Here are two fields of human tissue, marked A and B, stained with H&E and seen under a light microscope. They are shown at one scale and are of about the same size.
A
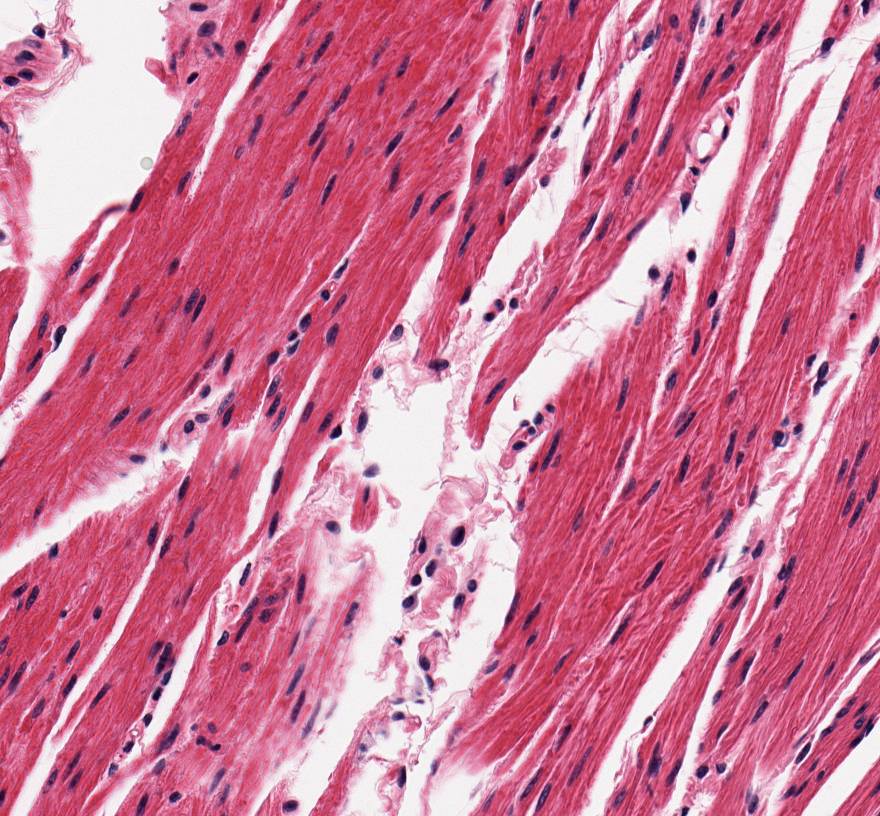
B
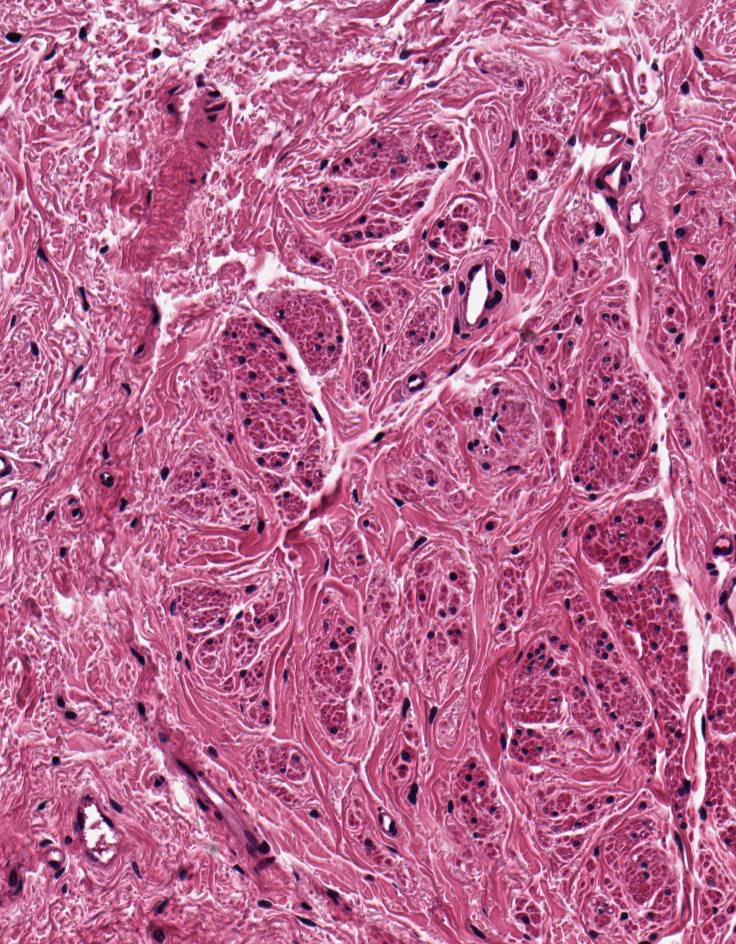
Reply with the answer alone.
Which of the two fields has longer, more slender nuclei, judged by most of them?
A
